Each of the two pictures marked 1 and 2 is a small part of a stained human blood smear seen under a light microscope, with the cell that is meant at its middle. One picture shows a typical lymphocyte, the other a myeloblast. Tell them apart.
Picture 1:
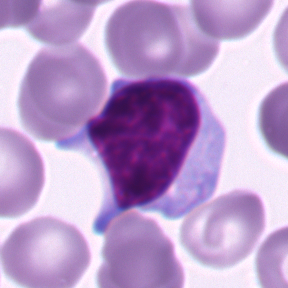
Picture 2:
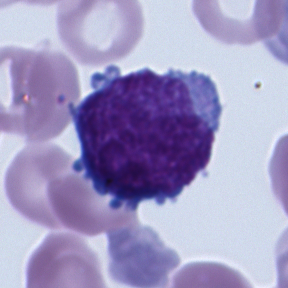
1: typical lymphocyte
2: myeloblast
